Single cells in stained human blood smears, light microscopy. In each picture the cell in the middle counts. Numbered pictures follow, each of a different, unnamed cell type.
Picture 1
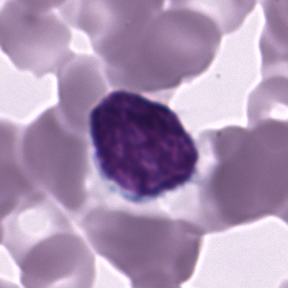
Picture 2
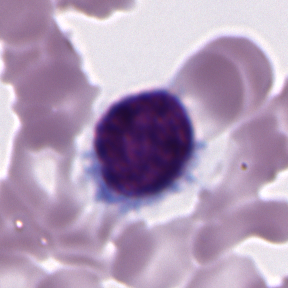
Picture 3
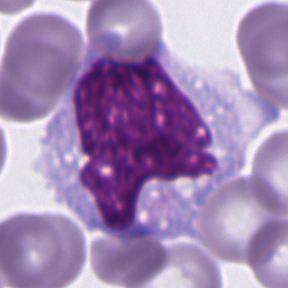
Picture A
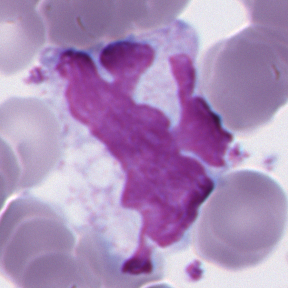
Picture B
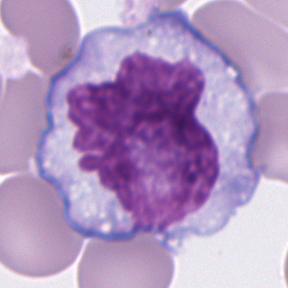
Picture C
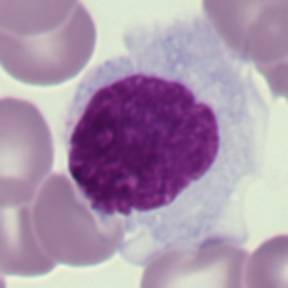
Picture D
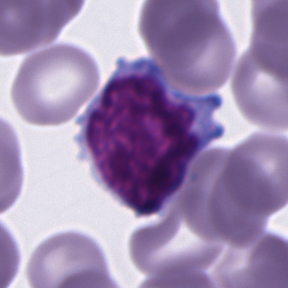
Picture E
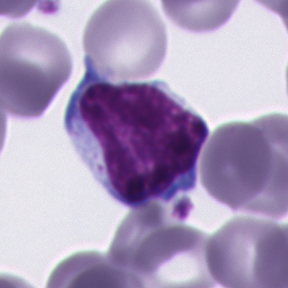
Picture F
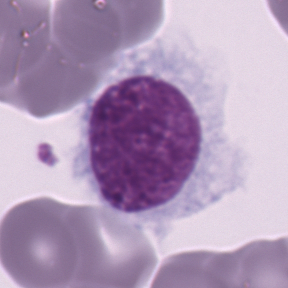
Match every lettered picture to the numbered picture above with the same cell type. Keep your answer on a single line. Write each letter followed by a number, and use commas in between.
A 3, B 3, C 2, D 1, E 1, F 2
